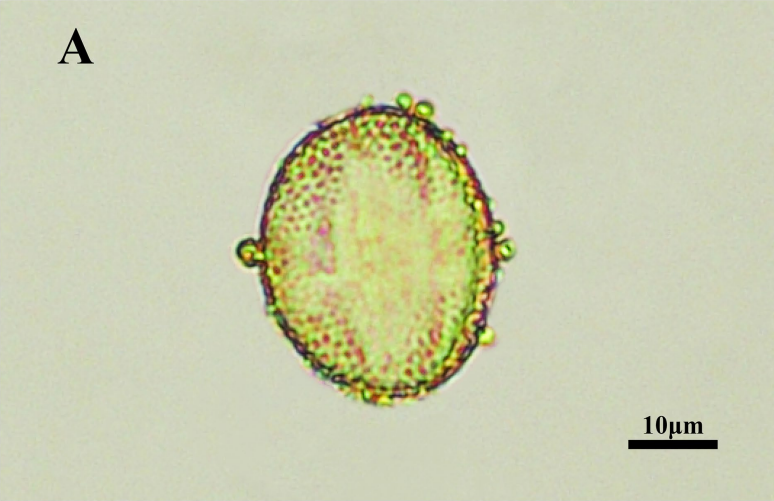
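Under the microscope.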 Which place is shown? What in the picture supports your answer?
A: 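Equatorial view. The grain's outline is an upright ellipse, longer than it is wide. No protruding lobes are seen around its outline.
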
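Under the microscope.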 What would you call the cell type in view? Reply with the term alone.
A: pollen grains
